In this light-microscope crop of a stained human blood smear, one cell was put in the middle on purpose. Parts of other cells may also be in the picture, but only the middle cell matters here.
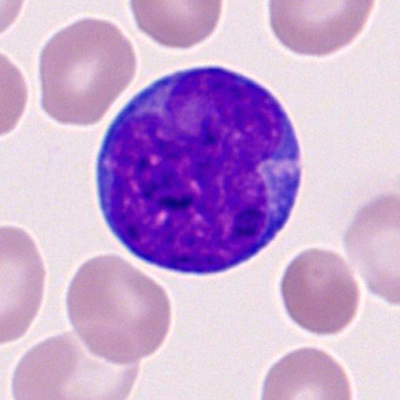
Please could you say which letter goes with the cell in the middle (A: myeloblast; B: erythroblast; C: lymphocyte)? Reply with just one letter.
A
